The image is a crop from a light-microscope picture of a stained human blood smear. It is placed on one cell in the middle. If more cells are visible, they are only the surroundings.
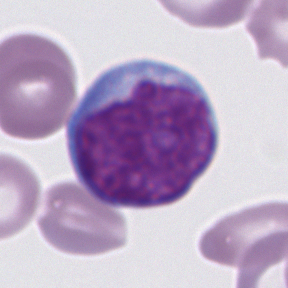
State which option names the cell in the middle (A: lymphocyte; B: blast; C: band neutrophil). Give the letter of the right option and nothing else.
B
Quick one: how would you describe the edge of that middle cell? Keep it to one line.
Worth noting that the cell border is smooth and lacks projections.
